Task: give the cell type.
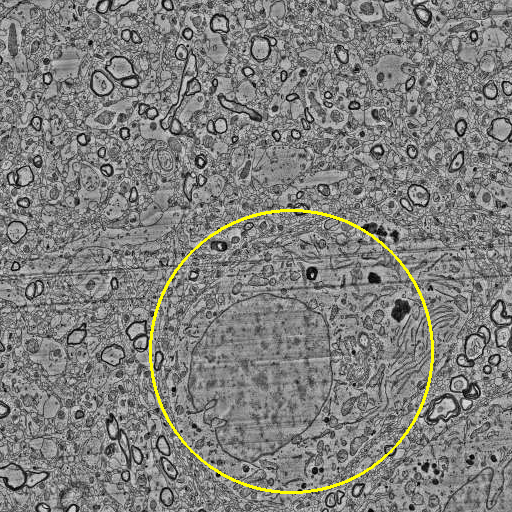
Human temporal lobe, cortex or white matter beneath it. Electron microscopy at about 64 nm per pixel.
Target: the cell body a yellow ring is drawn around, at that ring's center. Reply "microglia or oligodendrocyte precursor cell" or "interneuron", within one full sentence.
In this picture, the cell whose body lies at the ring's center is an interneuron.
